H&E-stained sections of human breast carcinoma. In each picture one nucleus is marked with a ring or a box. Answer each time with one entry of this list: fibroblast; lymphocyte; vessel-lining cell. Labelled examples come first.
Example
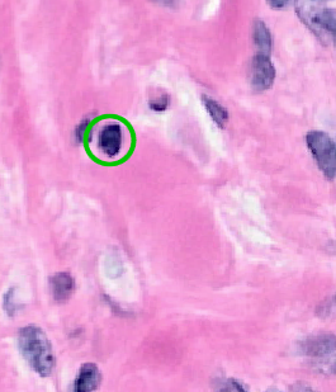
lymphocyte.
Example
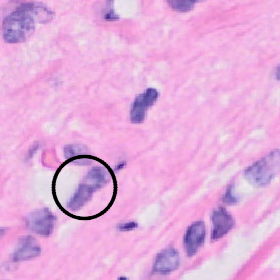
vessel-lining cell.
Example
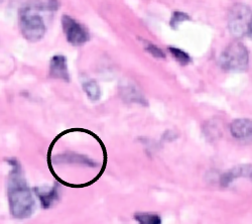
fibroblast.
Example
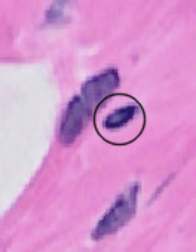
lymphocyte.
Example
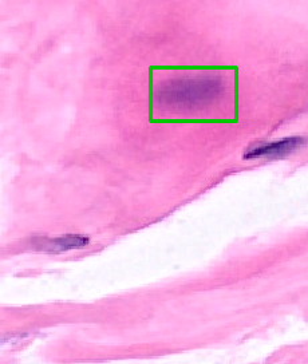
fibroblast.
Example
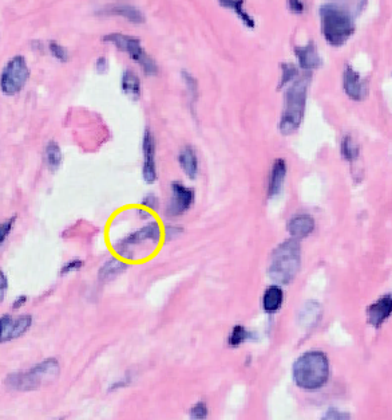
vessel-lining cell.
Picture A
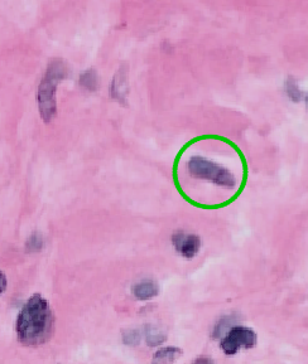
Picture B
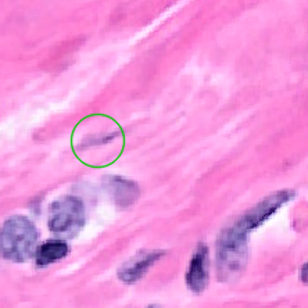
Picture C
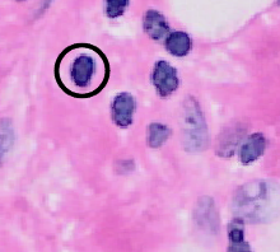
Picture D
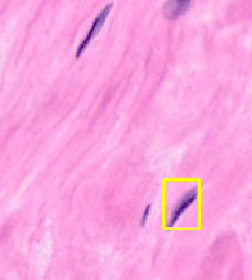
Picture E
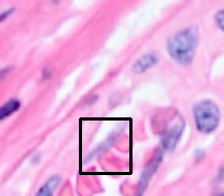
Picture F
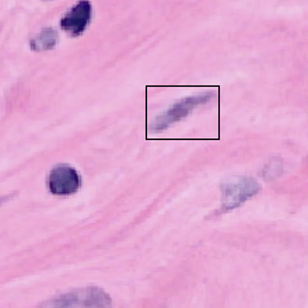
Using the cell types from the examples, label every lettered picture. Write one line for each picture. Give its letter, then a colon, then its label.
A: lymphocyte.
B: fibroblast.
C: lymphocyte.
D: fibroblast.
E: vessel-lining cell.
F: fibroblast.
